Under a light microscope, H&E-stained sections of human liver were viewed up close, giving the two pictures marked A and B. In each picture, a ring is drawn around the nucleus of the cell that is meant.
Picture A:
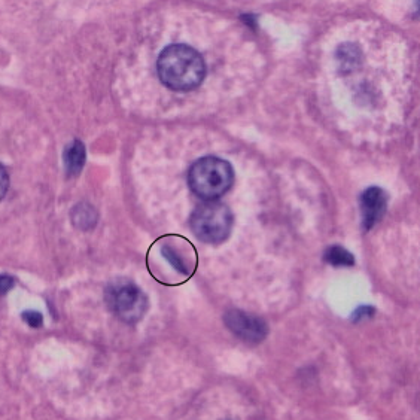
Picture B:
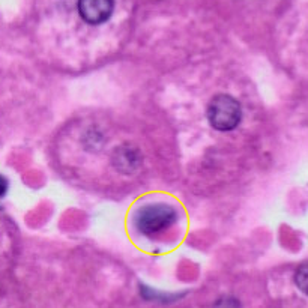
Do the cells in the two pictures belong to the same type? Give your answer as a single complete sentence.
Yes, both are endothelial cells.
